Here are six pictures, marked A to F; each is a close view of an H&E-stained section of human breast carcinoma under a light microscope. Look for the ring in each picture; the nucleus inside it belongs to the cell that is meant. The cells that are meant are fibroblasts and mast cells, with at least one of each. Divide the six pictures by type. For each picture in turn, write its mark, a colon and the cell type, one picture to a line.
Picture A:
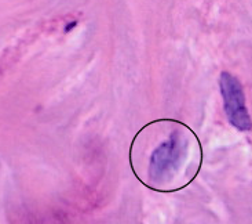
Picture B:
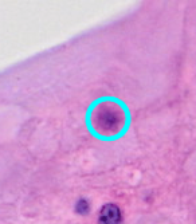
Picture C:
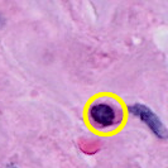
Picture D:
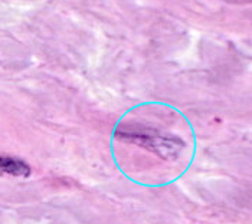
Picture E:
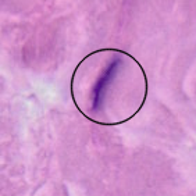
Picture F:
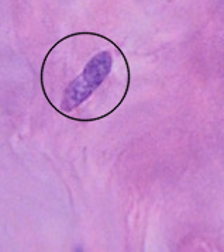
A: fibroblast
B: mast cell
C: mast cell
D: fibroblast
E: fibroblast
F: fibroblast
